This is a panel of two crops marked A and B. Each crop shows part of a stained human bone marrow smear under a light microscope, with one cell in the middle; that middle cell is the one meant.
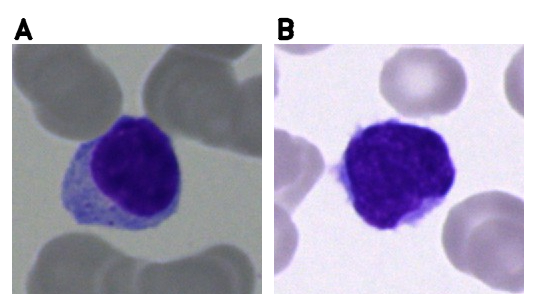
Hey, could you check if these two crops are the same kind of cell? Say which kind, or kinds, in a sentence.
Yes, the cells of interest in both crops are lymphocytes.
